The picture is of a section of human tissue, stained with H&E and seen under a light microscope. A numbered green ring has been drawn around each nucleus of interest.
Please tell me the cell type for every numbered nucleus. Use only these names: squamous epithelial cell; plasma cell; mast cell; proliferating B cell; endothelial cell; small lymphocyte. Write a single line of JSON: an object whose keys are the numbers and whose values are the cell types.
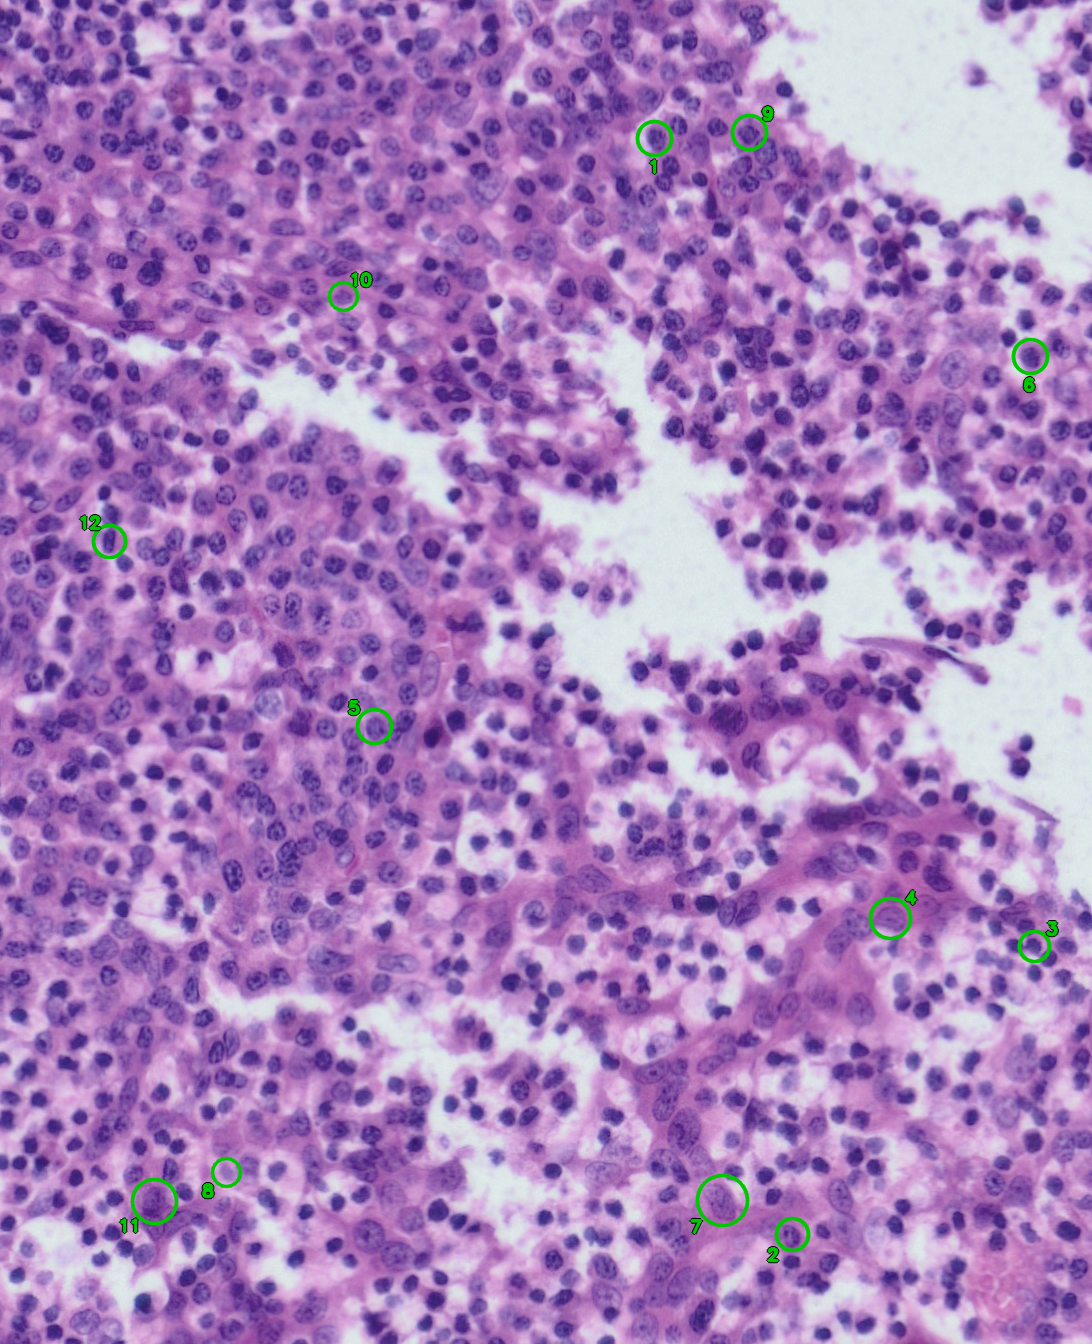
{"1": "plasma cell", "2": "plasma cell", "3": "small lymphocyte", "4": "squamous epithelial cell", "5": "plasma cell", "6": "plasma cell", "7": "squamous epithelial cell", "8": "squamous epithelial cell", "9": "plasma cell", "10": "plasma cell", "11": "squamous epithelial cell", "12": "plasma cell"}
